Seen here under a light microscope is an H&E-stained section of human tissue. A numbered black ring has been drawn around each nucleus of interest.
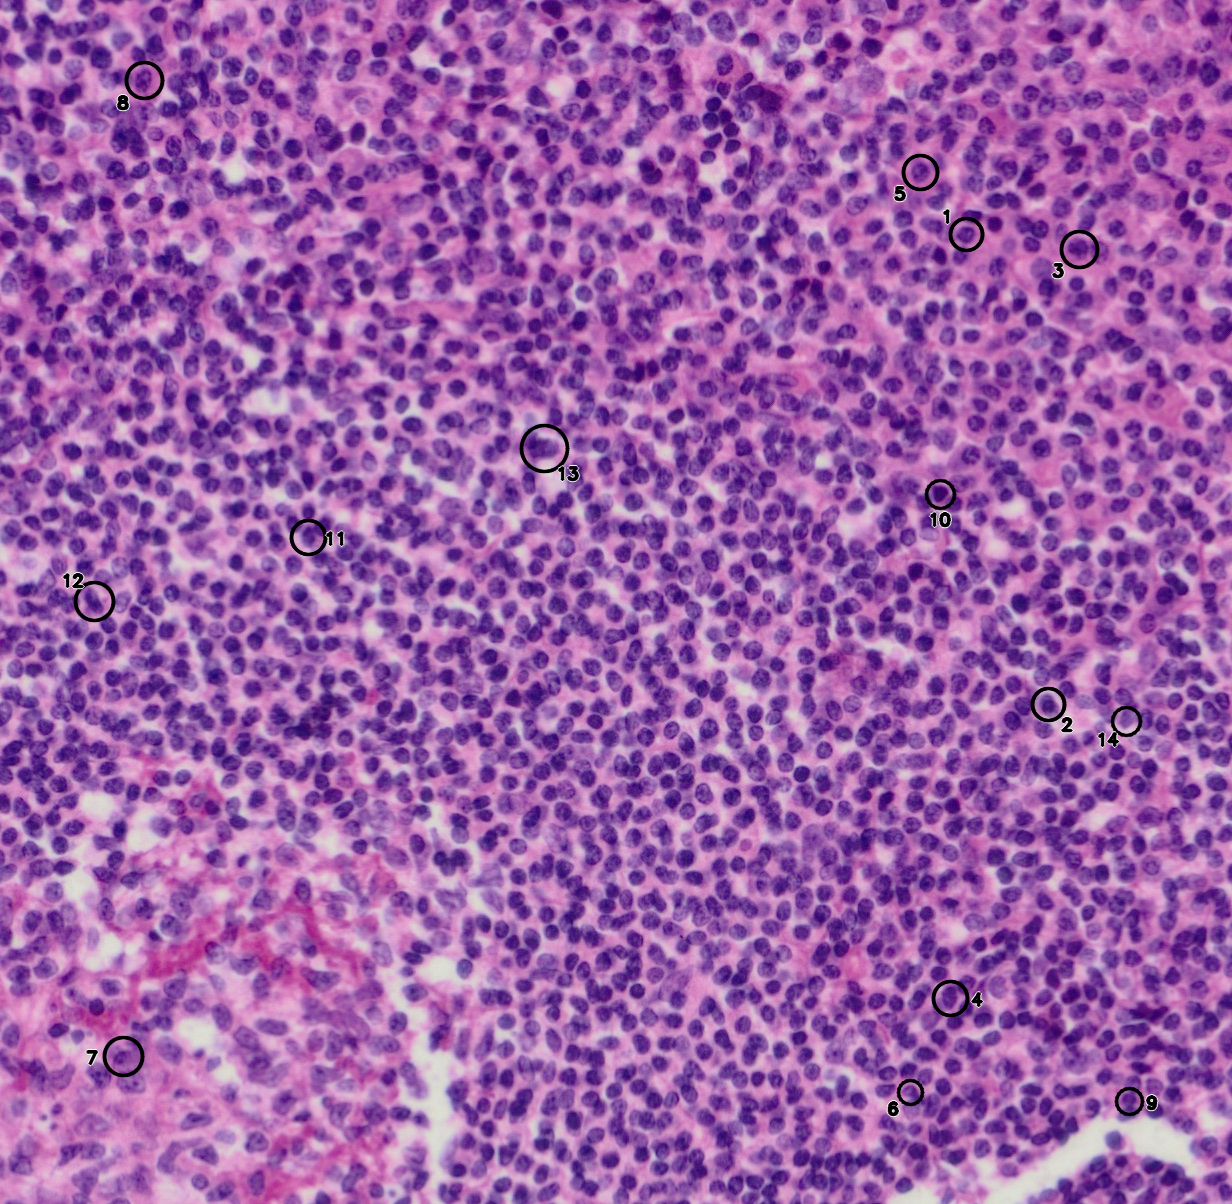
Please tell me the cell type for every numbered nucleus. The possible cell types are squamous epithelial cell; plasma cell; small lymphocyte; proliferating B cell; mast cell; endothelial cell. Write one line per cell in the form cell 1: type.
cell 1: plasma cell
cell 2: small lymphocyte
cell 3: plasma cell
cell 4: small lymphocyte
cell 5: plasma cell
cell 6: small lymphocyte
cell 7: proliferating B cell
cell 8: plasma cell
cell 9: small lymphocyte
cell 10: small lymphocyte
cell 11: small lymphocyte
cell 12: small lymphocyte
cell 13: proliferating B cell
cell 14: small lymphocyte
